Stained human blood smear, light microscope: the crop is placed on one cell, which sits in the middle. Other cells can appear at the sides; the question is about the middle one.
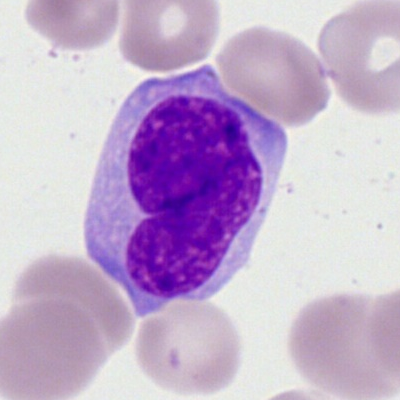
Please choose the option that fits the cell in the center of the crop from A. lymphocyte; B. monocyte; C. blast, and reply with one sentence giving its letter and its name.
Option C is the correct selection, for the cell at the centre is a blast.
